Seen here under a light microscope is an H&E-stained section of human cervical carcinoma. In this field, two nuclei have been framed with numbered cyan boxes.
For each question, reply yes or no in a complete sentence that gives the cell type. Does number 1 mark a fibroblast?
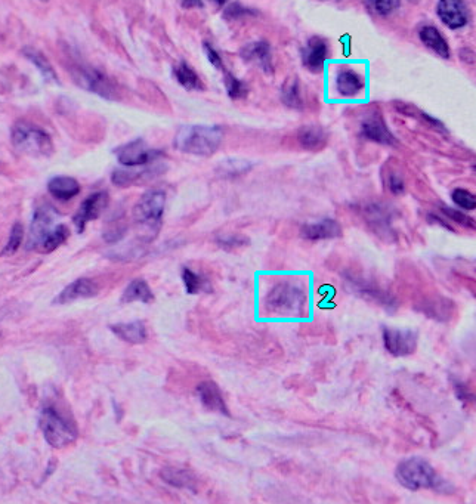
No, a lymphocyte is what cell 1 is, not a fibroblast.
